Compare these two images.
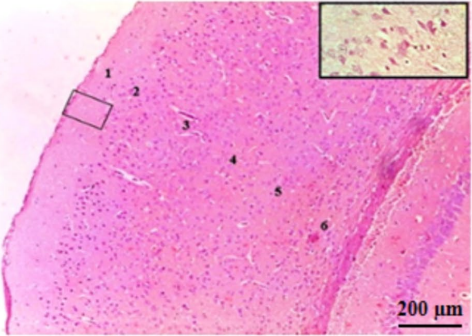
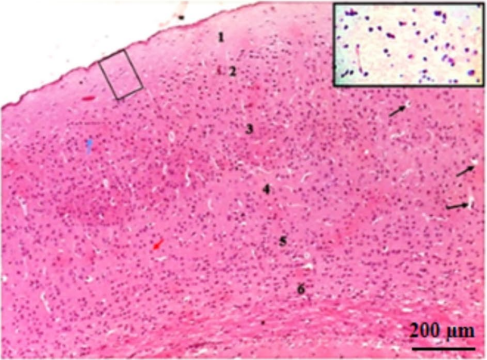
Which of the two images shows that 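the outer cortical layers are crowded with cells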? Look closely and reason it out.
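The second image. First image: nuclei are scattered fairly evenly through the layers beneath the surface. Second image: the bands just beneath the pale surface layer are densely packed with dark purple nuclei.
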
